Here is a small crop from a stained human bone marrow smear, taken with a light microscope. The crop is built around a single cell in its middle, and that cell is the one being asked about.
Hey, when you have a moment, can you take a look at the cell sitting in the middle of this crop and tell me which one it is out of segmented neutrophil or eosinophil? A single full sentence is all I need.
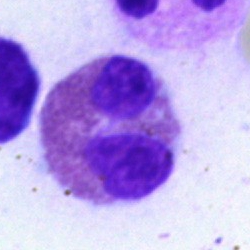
Positioned in the middle of the crop is an eosinophil.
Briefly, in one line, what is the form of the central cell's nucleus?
If you check the nucleus, you will find it split into two or more lobes.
